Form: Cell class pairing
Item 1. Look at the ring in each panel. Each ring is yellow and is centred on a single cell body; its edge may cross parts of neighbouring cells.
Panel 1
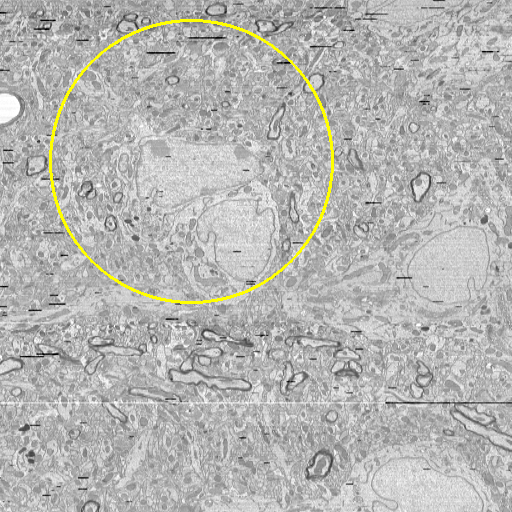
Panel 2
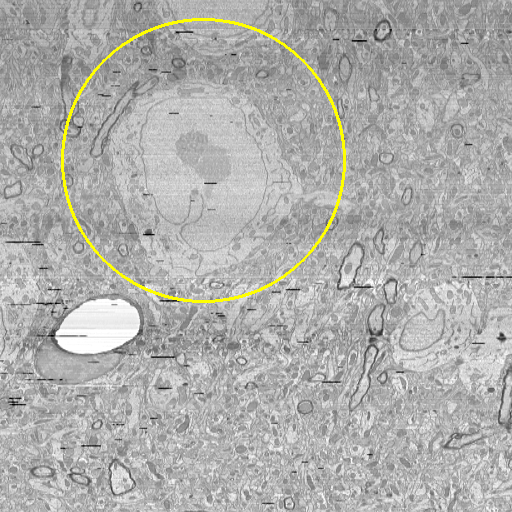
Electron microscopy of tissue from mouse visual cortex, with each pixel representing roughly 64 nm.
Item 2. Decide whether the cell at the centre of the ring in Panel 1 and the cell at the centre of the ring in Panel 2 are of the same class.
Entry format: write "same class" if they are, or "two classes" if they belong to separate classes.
two classes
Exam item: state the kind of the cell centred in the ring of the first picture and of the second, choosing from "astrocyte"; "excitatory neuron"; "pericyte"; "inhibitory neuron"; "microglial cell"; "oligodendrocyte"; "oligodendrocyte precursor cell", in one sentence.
The first picture shows an oligodendrocyte precursor cell at the ring centre and the second shows an excitatory neuron.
